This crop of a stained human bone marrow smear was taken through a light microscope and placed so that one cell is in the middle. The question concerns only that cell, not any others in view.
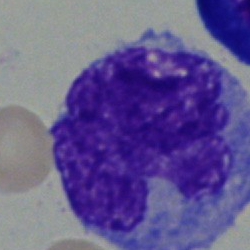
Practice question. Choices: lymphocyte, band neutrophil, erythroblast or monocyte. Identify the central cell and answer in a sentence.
The cell occupying the middle of the crop is a monocyte.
